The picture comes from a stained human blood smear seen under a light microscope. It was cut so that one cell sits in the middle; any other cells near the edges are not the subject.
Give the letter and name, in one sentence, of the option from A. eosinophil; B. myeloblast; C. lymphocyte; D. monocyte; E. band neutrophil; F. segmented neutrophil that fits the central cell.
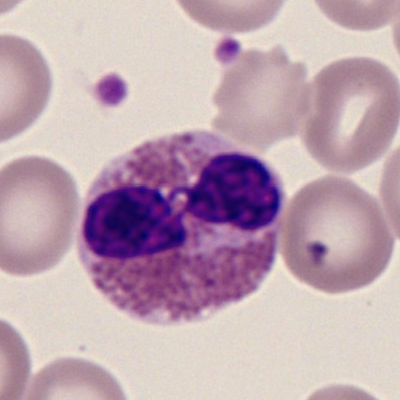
Option A is the correct selection, for the cell at the centre is an eosinophil.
